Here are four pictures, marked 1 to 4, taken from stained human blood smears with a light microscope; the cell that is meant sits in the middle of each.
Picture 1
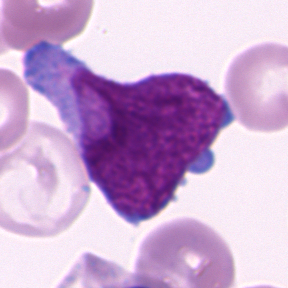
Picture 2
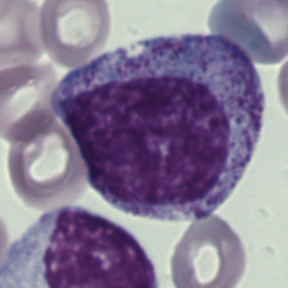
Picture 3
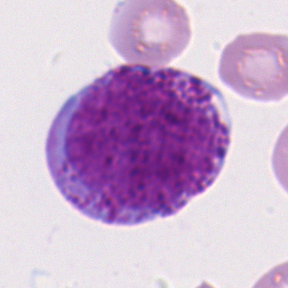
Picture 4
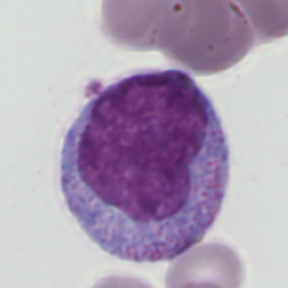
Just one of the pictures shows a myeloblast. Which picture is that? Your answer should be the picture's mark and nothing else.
1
